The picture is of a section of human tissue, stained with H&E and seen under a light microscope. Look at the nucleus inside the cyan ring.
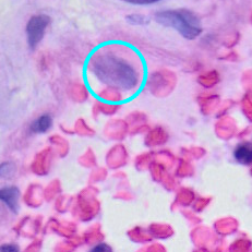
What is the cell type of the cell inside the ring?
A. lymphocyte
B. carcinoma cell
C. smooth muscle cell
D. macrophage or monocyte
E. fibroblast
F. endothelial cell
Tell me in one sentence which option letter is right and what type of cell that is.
The correct option is F, and the cell inside the ring is an endothelial cell.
